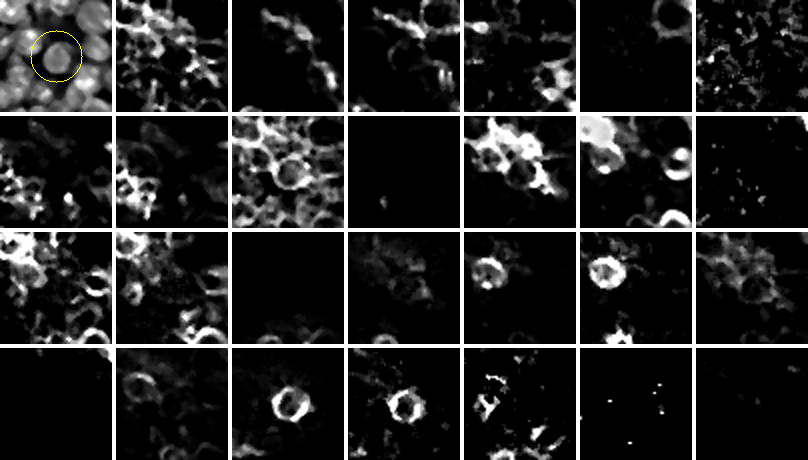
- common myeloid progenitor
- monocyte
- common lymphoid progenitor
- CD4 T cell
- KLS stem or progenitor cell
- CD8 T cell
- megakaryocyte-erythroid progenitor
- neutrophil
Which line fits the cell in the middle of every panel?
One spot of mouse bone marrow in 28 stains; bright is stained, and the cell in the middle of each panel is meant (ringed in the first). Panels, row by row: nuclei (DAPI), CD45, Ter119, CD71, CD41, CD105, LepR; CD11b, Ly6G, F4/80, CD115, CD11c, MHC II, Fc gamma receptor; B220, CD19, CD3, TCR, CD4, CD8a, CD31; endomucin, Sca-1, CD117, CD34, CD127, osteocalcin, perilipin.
common myeloid progenitor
